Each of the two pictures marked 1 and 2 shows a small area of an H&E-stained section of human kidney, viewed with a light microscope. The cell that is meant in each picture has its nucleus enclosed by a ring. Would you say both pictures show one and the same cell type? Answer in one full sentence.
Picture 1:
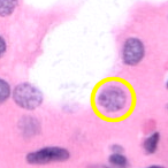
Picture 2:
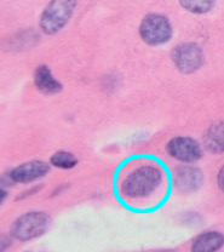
No, the types are not the same, since picture 1 shows a “loop of Henle or distal tubule cell” and picture 2 a collecting duct cell.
